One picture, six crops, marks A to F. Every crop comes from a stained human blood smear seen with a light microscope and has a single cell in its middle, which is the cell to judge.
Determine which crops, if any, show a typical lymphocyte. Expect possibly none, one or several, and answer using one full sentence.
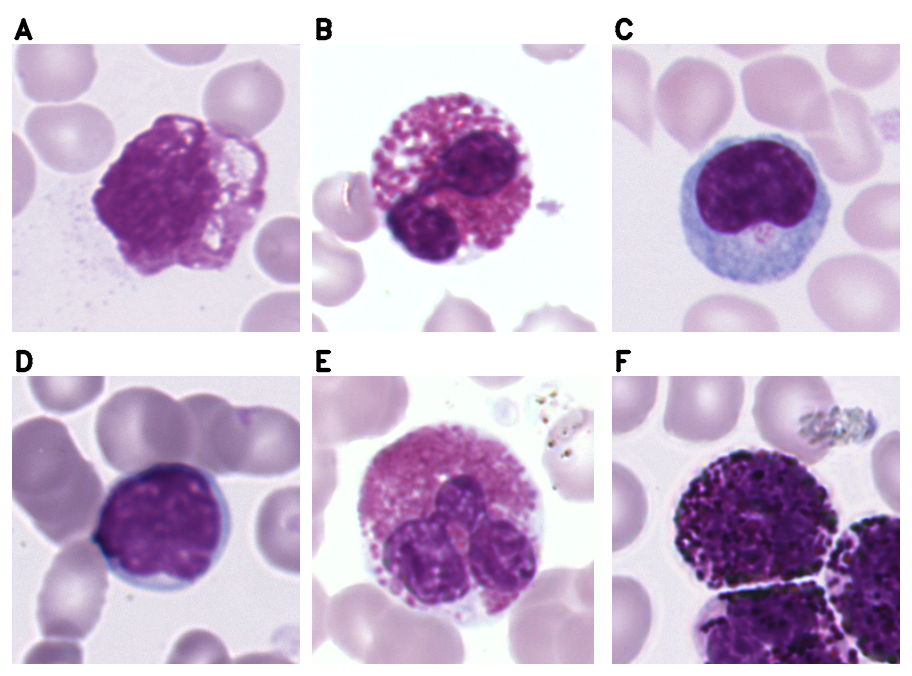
Classification of crops C and D: the central cells are typical lymphocytes.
